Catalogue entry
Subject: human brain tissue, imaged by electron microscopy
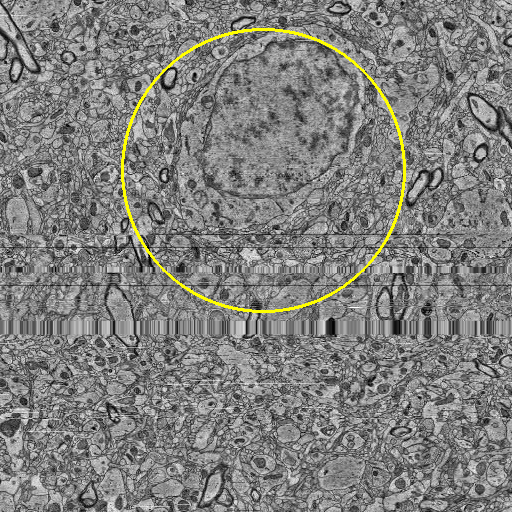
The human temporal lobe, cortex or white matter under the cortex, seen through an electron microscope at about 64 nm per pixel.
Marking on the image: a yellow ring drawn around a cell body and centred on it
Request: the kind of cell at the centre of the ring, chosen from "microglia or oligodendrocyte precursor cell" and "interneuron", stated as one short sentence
The ring has an interneuron at its centre.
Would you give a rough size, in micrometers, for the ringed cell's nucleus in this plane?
The nucleus of the ringed cell is approximately 12 by 9 micrometres in this plane.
